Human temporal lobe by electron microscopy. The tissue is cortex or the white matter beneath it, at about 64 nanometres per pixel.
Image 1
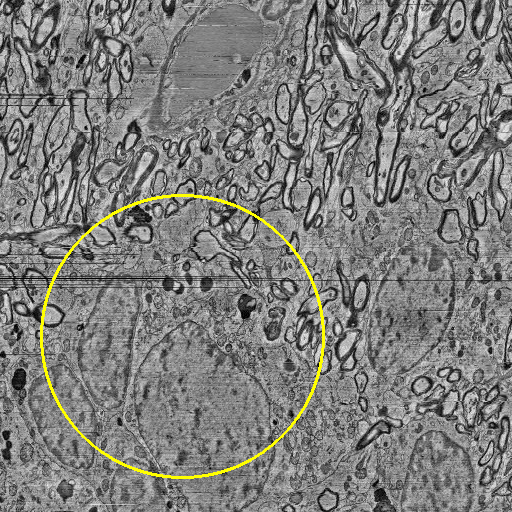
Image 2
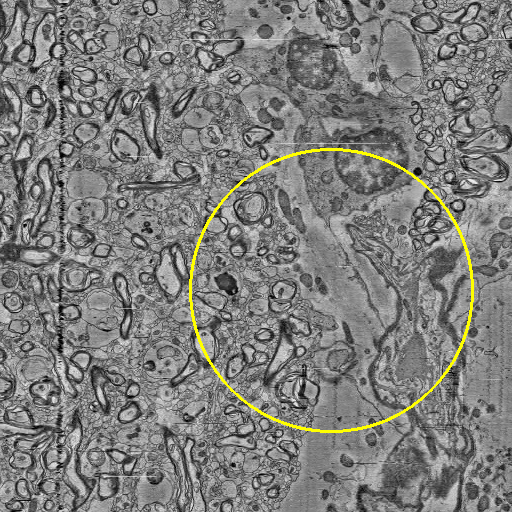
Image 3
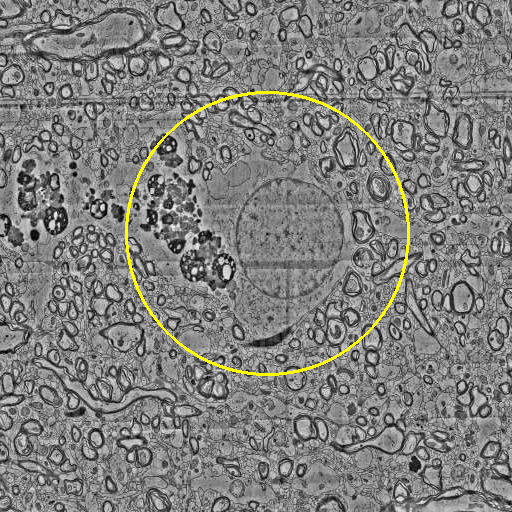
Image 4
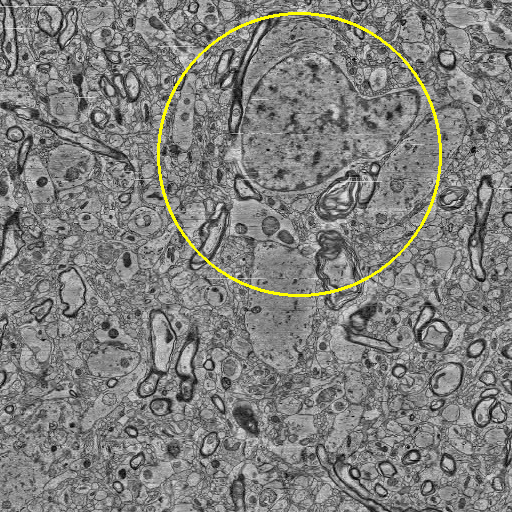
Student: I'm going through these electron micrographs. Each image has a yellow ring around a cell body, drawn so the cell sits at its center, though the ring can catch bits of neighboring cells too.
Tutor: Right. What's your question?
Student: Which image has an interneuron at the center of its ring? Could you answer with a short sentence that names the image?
Image 1 shows it at the center of its ring.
